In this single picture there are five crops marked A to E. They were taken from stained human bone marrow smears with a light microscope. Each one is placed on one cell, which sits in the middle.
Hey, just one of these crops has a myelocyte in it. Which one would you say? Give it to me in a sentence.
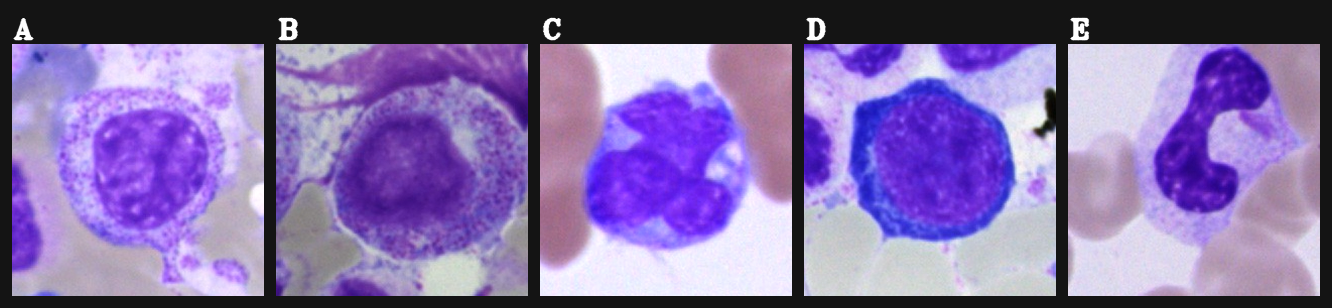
Crop A is the one that shows a myelocyte.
